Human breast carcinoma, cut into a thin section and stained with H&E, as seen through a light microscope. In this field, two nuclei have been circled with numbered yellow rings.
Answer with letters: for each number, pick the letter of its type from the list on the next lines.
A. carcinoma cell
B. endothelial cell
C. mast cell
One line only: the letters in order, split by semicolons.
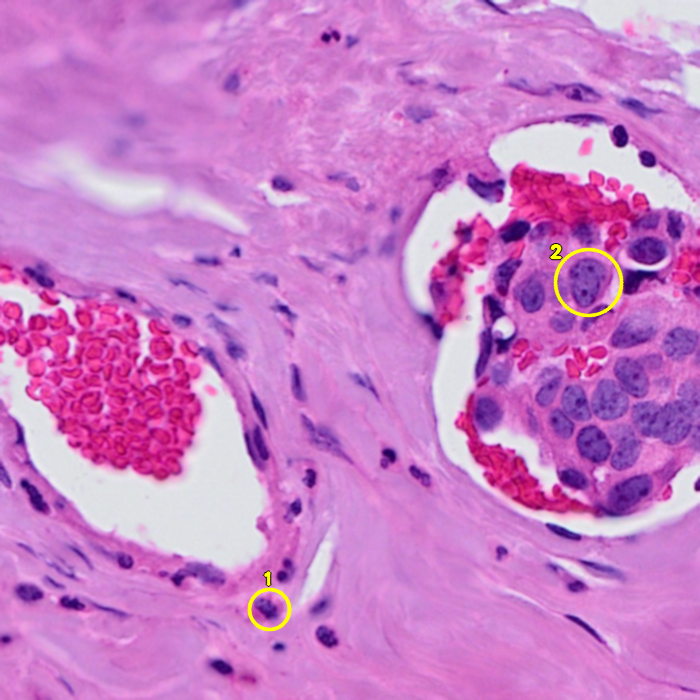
C; A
